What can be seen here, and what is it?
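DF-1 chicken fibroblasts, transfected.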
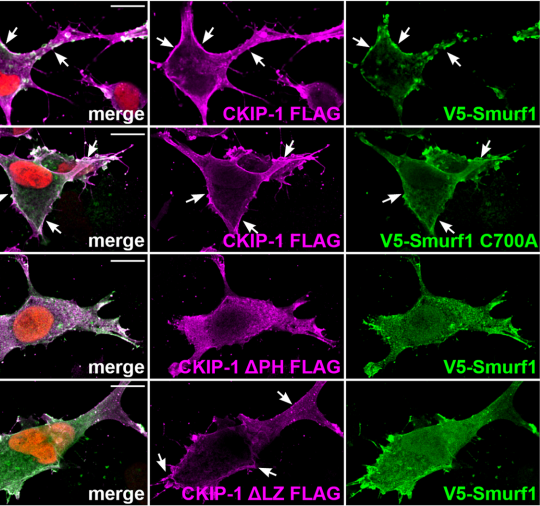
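The magenta and green labels fill the cytoplasm, but in several cells they are brighter along the cell edge and the outlines of the processes, where white arrows point; in other rows the label is spread more evenly through the cytoplasm. Where both colours overlap, the merged image turns whitish.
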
